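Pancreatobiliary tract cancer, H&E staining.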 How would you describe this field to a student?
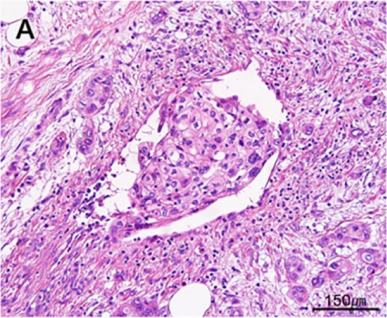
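A cluster of large, pleomorphic epithelial tumour cells sits inside a vascular space, separated from much of its wall by a clear cleft. Around the space lies a cellular, fibrous stroma with scattered small dark inflammatory cells. Further small nests of similar large tumour cells infiltrate the stroma nearby, and a few round empty fat spaces are seen at the edges.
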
